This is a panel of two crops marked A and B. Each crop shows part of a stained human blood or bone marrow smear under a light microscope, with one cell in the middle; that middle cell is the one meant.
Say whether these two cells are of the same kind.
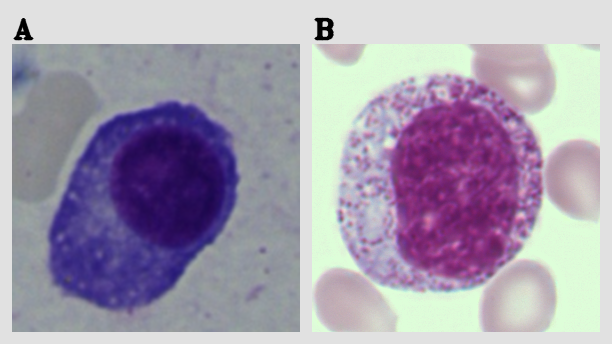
no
